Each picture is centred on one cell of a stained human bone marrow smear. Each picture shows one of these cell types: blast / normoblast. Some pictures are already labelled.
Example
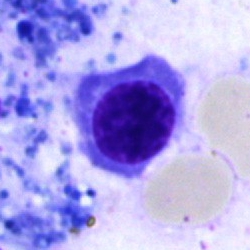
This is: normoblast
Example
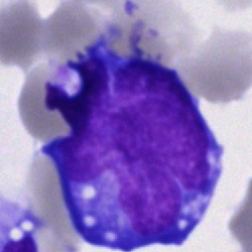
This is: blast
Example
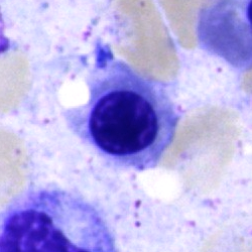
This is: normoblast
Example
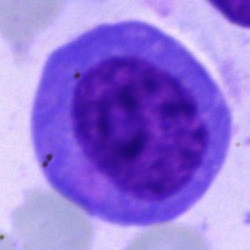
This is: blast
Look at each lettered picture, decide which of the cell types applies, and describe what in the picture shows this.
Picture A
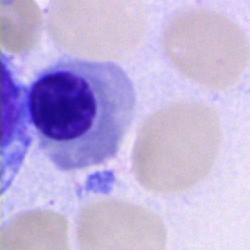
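normoblast: The chromatin is dense, dark purple and coarsely clumped.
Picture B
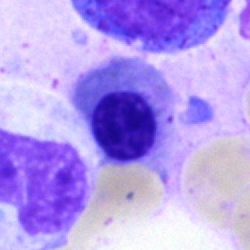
normoblast: The chromatin is dark purple and coarsely clumped.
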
